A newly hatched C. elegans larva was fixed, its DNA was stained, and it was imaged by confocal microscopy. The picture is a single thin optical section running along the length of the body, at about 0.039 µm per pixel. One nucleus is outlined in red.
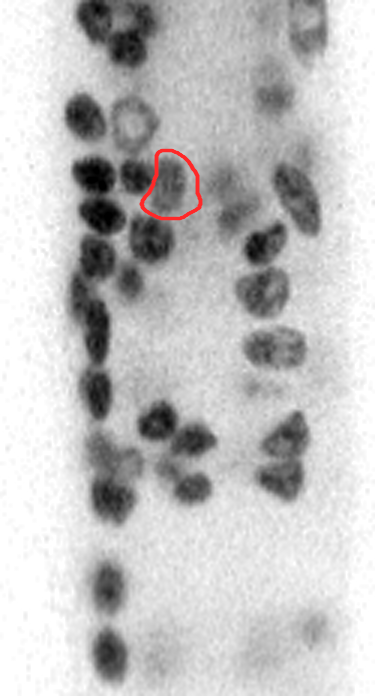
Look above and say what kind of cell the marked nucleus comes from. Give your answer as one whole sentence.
What is marked is the nucleus of a pharyngeal marginal cell.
